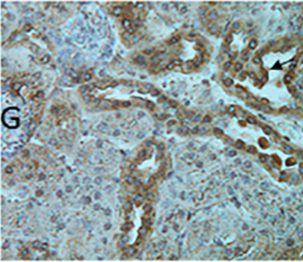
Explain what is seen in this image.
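This is kidney tissue showing renal tubules with a glomerulus at the left edge. The tubules are lined by cuboidal epithelial cells with round blue nuclei around open lumens. Strong brown staining lines the luminal surface and fills much of the cytoplasm of many tubular cells. An arrow marks a brown-stained tubule lining in the upper right. The glomerulus appears as a rounded, more lightly stained cluster of cells with many small nuclei.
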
